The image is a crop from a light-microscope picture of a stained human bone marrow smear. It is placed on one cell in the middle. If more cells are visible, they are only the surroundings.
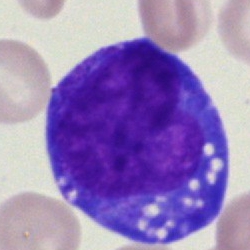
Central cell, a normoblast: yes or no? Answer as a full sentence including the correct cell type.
No, the centered cell is a blast and not a normoblast at all.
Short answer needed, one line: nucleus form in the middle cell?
One compact mass makes up the whole nucleus, round, oval or kidney-shaped.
